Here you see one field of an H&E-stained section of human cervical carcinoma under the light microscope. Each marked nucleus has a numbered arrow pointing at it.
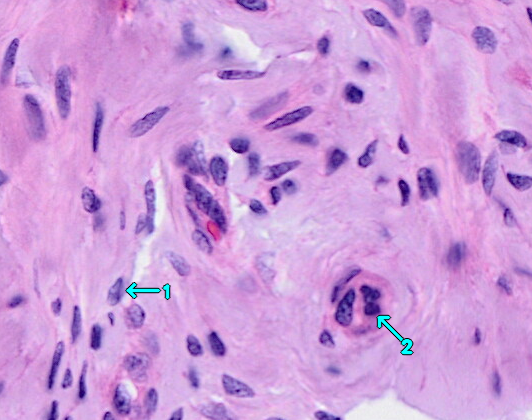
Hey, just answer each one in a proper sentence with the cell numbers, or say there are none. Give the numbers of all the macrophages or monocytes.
Nowhere among the numbered cells do macrophages or monocytes occur.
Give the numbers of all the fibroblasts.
Cell 1 is a fibroblast, while all remaining marked cells are of other types.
